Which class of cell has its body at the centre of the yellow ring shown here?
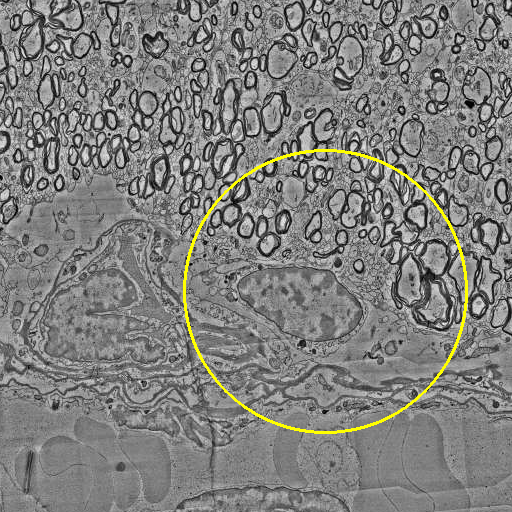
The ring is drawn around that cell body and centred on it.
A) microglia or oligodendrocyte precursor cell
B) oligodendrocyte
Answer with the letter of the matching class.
A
